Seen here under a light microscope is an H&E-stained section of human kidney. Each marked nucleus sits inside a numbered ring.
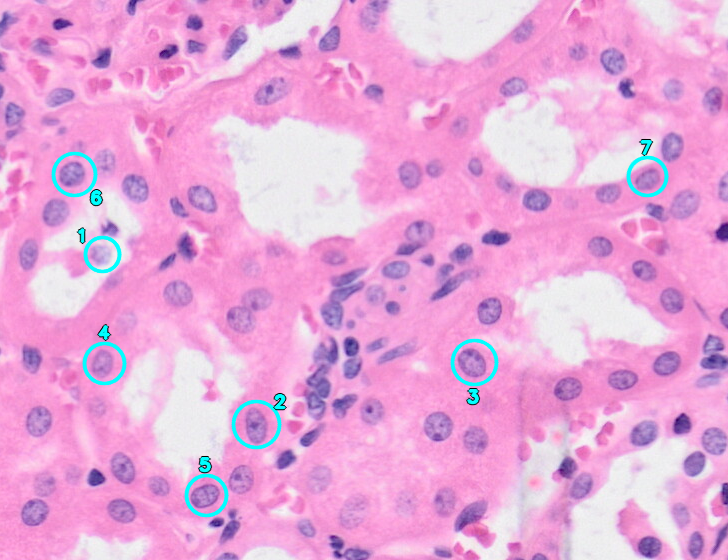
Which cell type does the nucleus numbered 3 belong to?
proximal tubule cell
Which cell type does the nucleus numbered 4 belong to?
proximal tubule cell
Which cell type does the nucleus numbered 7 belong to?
loop of Henle or distal tubule cell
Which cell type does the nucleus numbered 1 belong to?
loop of Henle or distal tubule cell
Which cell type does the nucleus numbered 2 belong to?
proximal tubule cell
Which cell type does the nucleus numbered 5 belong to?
proximal tubule cell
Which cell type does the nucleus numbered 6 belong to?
loop of Henle or distal tubule cell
